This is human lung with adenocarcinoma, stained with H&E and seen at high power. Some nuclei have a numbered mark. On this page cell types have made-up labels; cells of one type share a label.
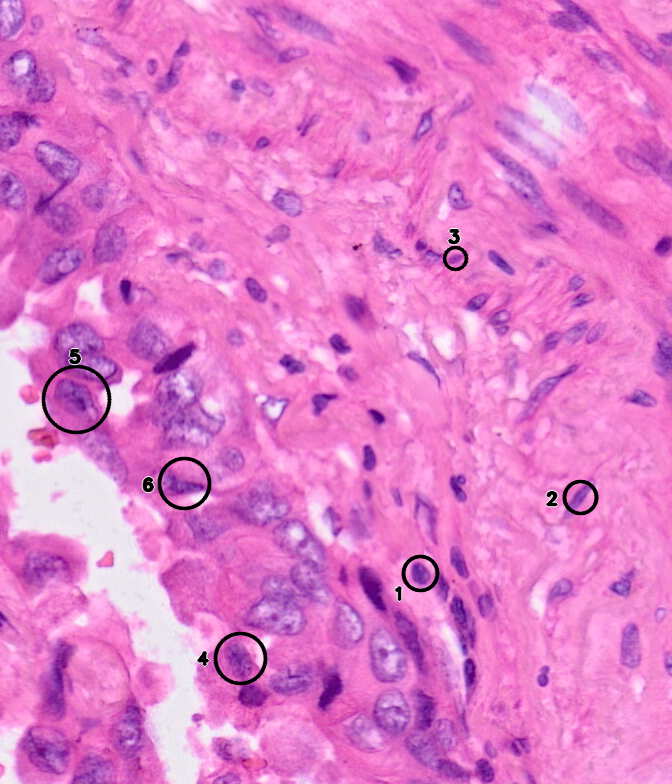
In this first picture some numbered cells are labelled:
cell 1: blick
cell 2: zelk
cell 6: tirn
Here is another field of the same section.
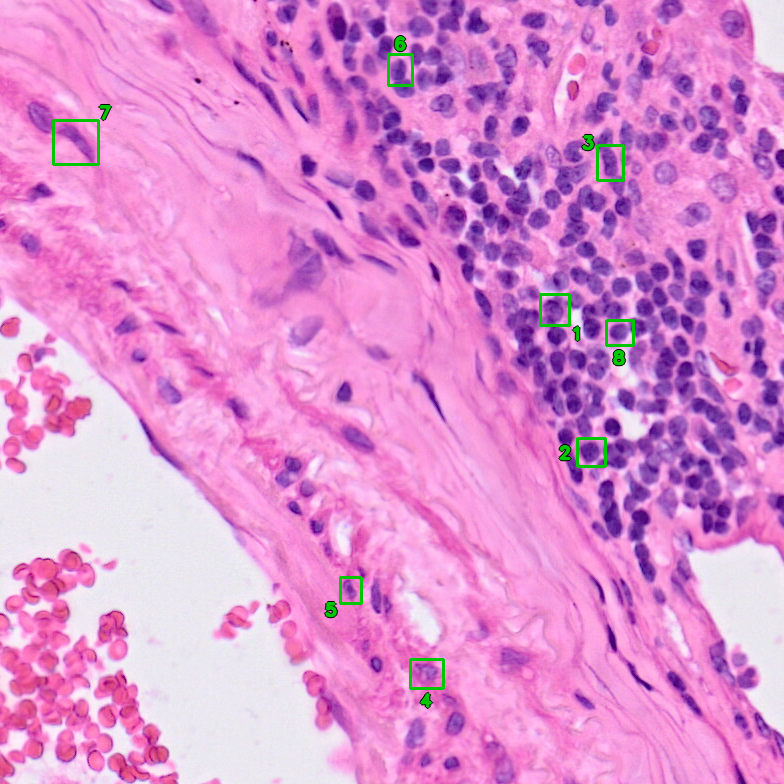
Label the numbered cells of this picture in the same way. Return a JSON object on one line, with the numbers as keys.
{"1": "blick", "2": "blick", "3": "blick", "4": "zelk", "5": "zelk", "6": "blick", "7": "zelk", "8": "blick"}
